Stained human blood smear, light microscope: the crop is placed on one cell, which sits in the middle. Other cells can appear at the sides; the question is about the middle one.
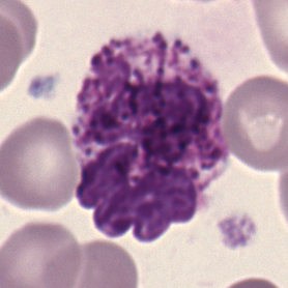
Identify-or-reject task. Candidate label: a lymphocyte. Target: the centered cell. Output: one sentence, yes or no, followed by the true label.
No, what lies at the heart of the crop is a basophil, not a lymphocyte.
